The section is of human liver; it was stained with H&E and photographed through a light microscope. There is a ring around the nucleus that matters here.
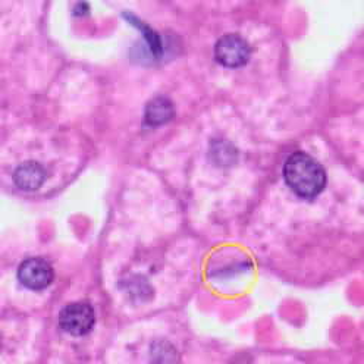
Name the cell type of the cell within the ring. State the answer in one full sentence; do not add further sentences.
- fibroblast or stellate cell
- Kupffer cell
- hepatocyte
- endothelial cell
As for its identity, the cell within the ring is an endothelial cell.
